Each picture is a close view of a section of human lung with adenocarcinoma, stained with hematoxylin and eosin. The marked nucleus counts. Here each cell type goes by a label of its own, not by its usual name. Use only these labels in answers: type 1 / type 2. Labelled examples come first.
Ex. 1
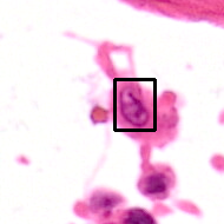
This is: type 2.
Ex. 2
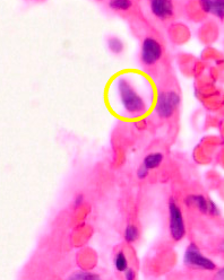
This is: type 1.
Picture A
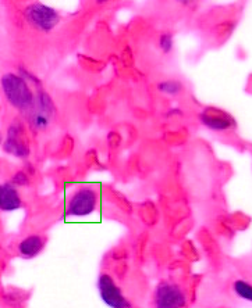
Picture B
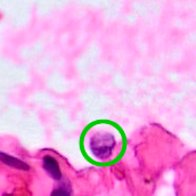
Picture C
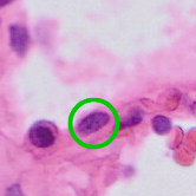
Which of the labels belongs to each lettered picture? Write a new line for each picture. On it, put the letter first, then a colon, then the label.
A: type 1.
B: type 1.
C: type 1.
